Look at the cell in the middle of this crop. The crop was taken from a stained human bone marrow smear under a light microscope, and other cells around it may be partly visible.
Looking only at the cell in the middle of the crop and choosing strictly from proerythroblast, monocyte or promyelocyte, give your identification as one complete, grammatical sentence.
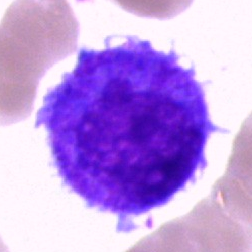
The centrally located cell in the crop is a promyelocyte.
